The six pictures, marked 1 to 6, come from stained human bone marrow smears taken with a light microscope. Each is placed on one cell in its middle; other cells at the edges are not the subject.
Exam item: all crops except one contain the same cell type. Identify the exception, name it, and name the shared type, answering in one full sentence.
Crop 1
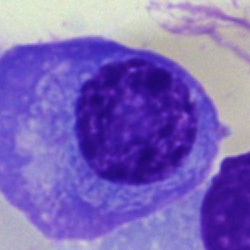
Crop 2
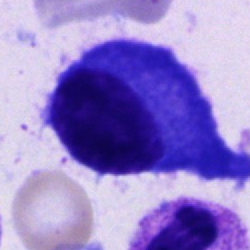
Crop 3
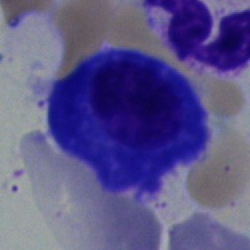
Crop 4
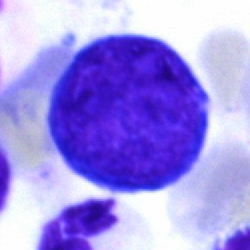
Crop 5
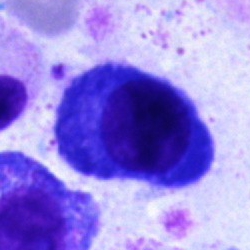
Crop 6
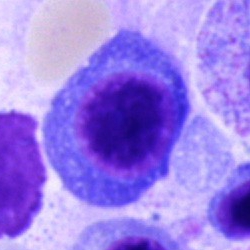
Apart from crop 4, a proerythroblast, the crops all show plasma cells.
